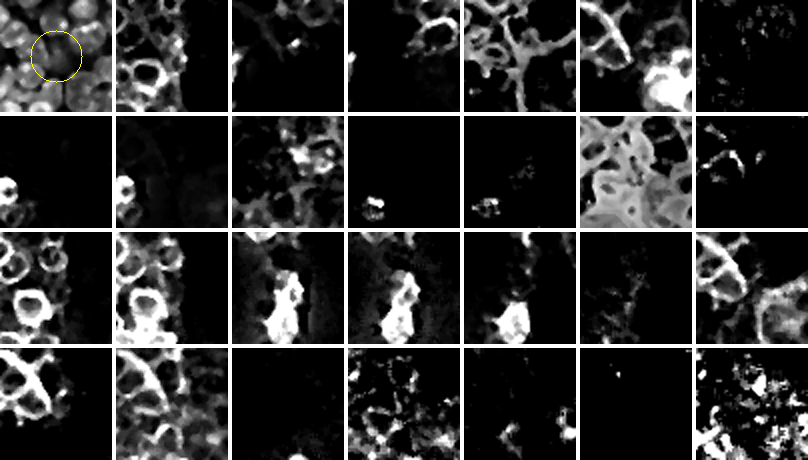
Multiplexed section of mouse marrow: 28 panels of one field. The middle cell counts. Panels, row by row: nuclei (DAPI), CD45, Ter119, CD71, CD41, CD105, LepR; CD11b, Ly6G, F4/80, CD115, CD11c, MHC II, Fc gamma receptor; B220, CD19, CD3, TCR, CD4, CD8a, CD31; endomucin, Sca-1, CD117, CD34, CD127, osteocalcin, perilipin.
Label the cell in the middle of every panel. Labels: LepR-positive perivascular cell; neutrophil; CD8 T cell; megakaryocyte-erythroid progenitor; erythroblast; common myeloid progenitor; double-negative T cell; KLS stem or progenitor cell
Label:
double-negative T cell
